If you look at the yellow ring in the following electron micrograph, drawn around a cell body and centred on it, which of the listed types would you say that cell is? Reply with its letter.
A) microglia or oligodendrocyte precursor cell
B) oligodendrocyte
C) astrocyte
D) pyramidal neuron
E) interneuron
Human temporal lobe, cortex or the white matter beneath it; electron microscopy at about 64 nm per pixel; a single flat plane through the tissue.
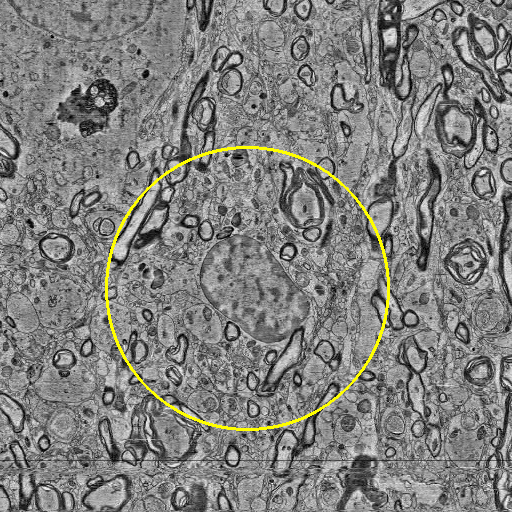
A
